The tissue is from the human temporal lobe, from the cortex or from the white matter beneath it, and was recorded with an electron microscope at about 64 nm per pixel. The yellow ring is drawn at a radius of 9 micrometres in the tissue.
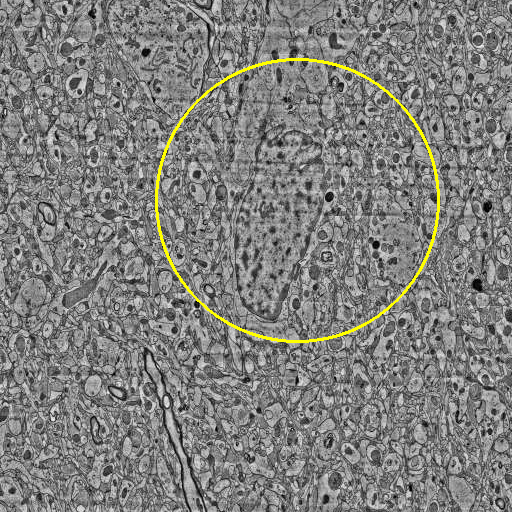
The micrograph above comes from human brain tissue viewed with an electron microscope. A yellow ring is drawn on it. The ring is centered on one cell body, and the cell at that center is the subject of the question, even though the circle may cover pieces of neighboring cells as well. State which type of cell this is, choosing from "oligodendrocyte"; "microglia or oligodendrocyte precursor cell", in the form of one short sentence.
The cell the ring is centered on is a microglial cell or oligodendrocyte precursor cell.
